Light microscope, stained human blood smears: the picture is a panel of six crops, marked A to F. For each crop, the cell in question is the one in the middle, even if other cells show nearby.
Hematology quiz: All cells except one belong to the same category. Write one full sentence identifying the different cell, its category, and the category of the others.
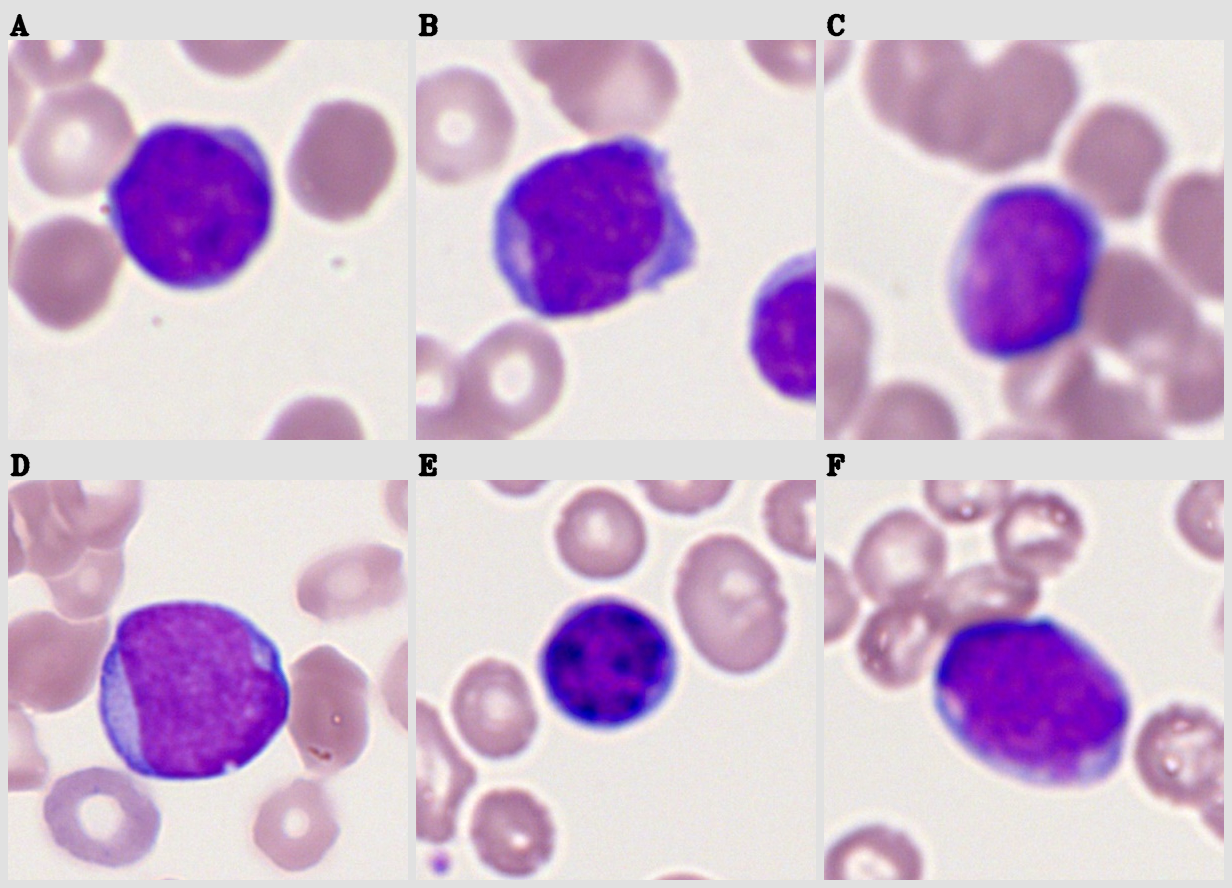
Crop E alone shows a lymphocyte; the other crops are all myeloblasts.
